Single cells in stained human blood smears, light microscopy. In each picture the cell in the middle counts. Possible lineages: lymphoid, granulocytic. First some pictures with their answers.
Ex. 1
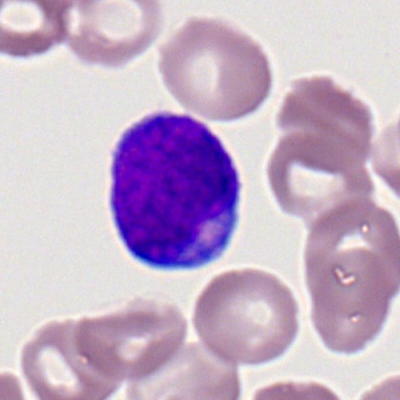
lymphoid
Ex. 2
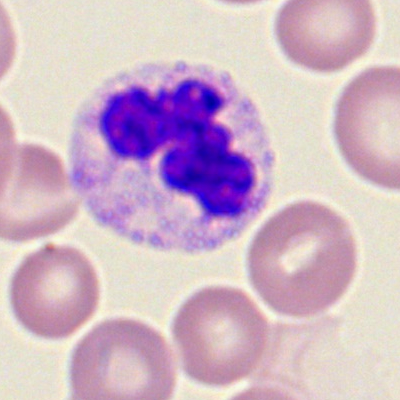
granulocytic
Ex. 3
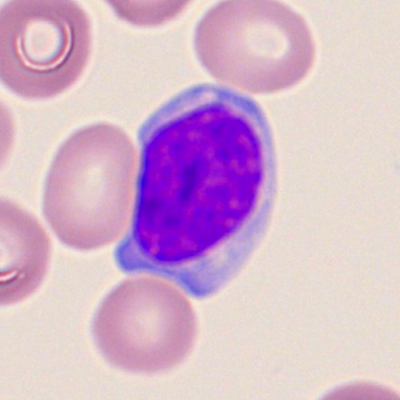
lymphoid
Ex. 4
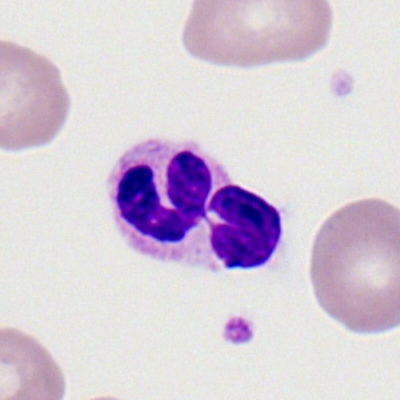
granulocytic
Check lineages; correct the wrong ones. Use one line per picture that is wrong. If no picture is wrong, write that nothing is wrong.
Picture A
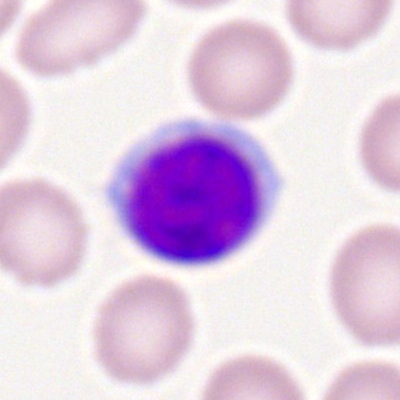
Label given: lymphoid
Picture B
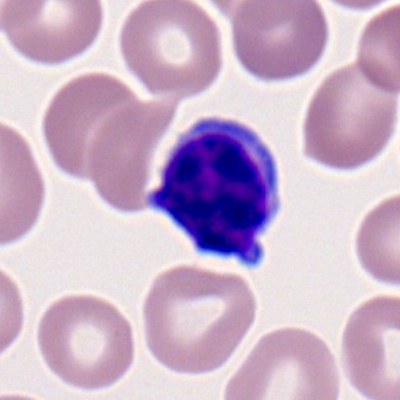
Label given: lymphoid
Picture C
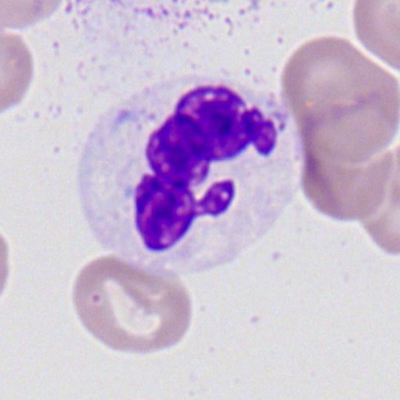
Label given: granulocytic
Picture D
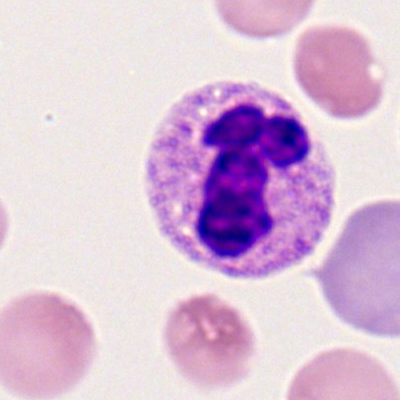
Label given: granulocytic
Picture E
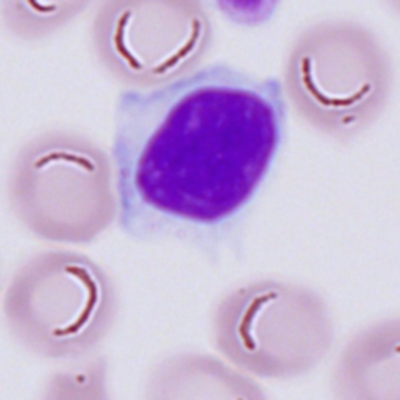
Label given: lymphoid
None of the labels needs changing.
